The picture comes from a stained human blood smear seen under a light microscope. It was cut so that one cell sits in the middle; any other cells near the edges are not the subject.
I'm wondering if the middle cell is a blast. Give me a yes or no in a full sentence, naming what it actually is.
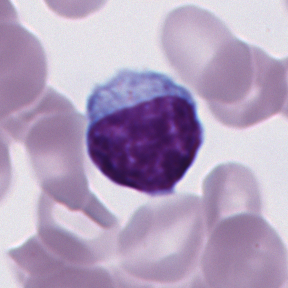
No, the identification should read a lymphocyte, not a blast, for the central cell.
